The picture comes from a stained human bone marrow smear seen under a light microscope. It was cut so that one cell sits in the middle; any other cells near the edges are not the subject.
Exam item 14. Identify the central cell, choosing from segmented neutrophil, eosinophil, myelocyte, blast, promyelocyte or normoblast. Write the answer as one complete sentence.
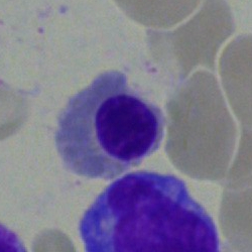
The cell occupying the middle of the crop is a normoblast.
